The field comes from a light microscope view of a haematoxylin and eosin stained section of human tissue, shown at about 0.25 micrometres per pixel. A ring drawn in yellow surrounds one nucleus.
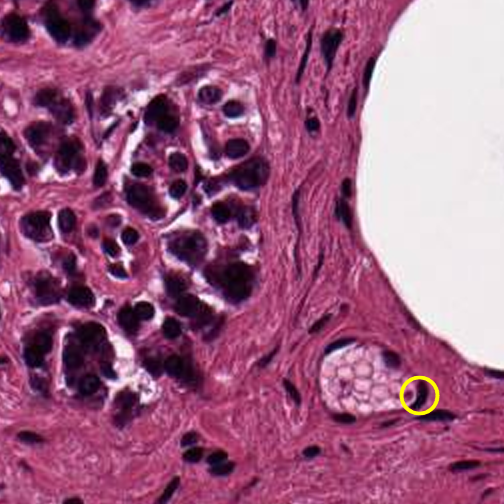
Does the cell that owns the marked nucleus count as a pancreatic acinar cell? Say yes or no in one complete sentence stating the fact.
No, the marked nucleus lies within a supporting cell, not within a pancreatic acinar cell.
